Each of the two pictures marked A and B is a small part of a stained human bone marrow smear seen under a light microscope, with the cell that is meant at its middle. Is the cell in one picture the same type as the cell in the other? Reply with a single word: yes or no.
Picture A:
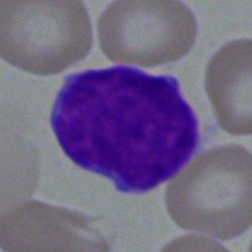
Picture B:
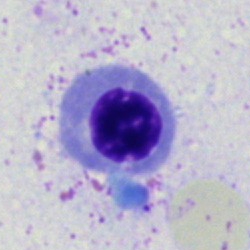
no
